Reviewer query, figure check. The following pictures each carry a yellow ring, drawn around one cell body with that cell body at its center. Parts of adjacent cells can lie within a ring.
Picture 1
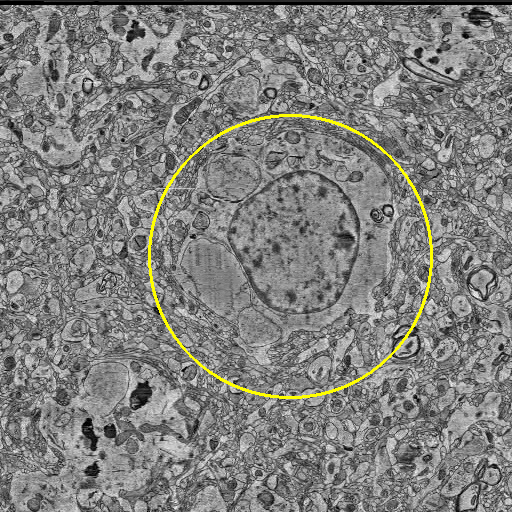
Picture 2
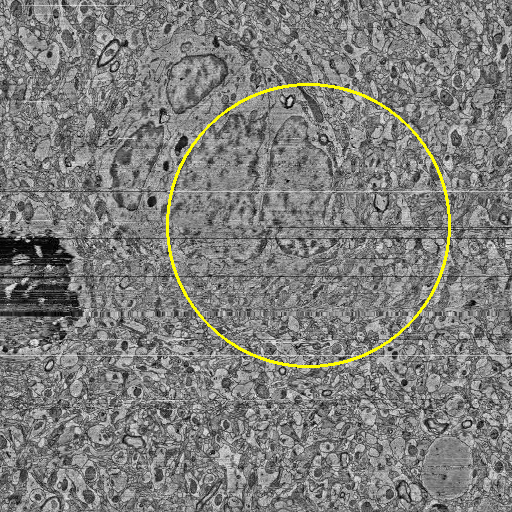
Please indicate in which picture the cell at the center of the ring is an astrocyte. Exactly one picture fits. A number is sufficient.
1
